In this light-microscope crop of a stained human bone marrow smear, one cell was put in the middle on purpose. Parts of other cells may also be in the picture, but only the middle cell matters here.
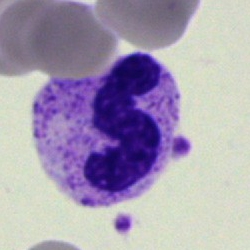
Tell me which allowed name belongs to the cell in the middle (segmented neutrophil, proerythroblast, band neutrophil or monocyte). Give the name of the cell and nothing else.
segmented neutrophil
